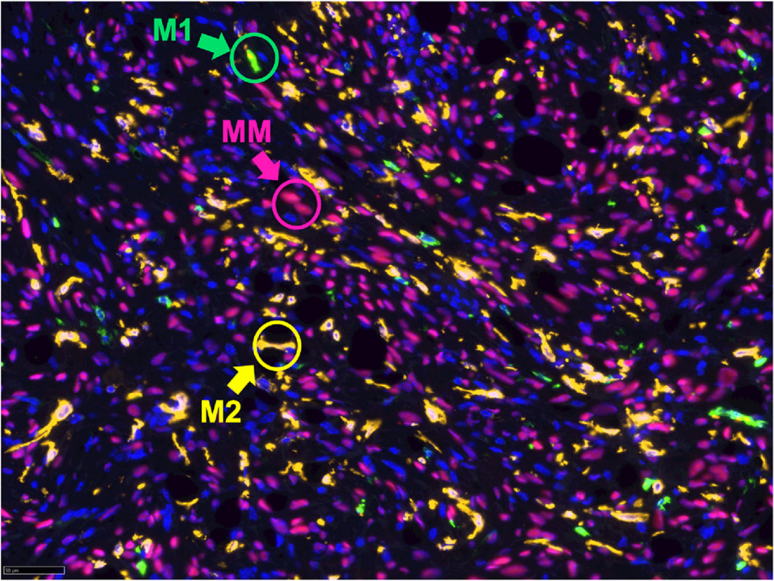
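A crowded tumor of oval to spindle-shaped nuclei, many of them red to pink, interspersed with numerous yellow cells that are elongated and branched with long slender processes winding between the tumor cells. Small green cells are scattered here and there, and several dark round empty spaces break up the tissue.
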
